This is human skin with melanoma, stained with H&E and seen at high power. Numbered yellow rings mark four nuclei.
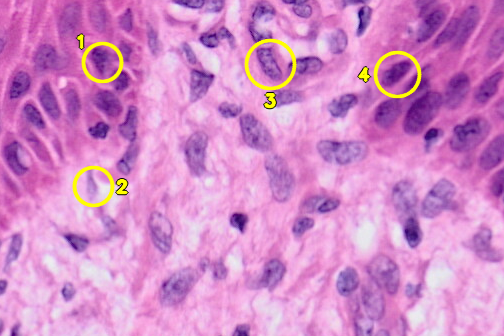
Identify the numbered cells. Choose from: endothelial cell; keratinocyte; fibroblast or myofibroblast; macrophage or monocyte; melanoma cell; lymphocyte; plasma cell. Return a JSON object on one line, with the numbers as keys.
{"1": "keratinocyte", "2": "fibroblast or myofibroblast", "3": "endothelial cell", "4": "keratinocyte"}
